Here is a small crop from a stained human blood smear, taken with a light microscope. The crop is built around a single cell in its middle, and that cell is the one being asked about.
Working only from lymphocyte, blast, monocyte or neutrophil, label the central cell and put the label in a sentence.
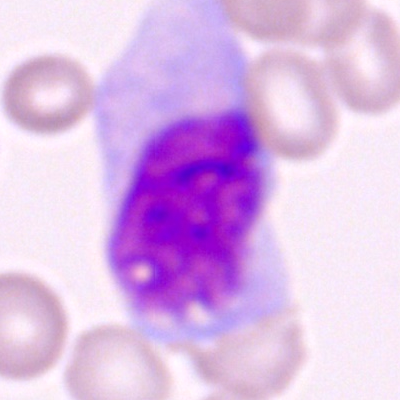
The cell at the centre of the field is a monocyte.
